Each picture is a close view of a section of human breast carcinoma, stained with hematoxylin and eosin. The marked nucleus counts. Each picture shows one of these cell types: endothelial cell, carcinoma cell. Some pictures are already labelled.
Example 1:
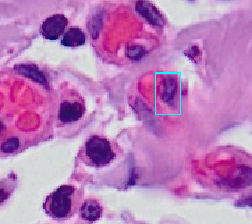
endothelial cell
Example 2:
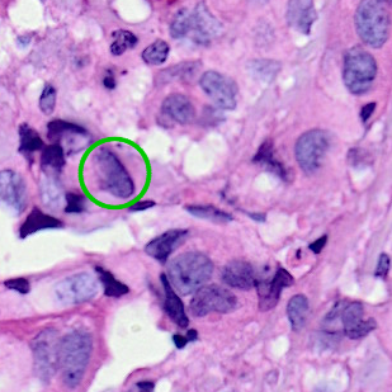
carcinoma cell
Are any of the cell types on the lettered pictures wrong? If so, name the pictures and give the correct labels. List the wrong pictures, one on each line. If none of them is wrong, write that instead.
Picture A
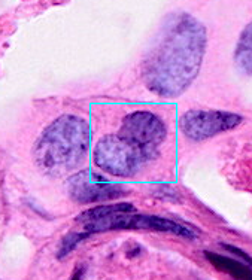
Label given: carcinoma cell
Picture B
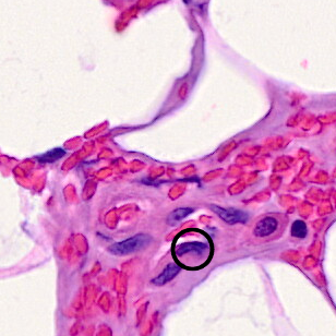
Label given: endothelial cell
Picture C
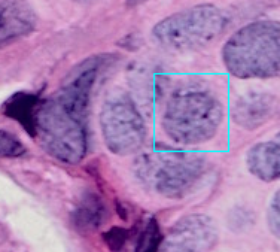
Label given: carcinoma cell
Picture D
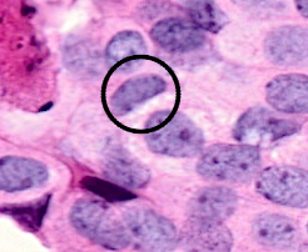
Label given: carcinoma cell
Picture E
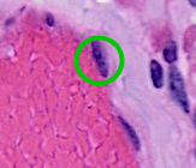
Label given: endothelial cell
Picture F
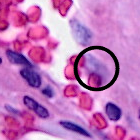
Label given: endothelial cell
Nothing to fix; every label fits.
